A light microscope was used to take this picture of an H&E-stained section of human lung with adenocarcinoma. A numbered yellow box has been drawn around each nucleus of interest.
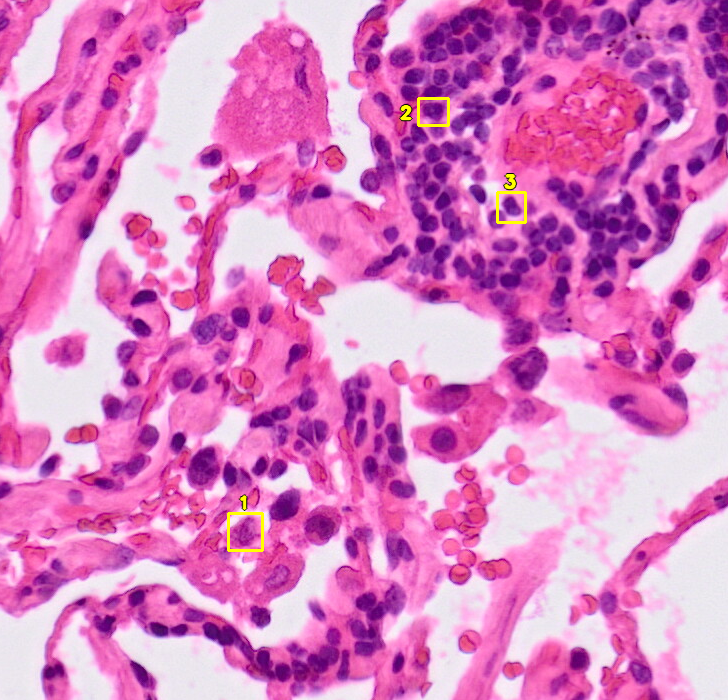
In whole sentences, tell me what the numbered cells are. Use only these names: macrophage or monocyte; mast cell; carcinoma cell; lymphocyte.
Cell 1 is a macrophage or monocyte. Cells 2 and 3 are lymphocytes.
